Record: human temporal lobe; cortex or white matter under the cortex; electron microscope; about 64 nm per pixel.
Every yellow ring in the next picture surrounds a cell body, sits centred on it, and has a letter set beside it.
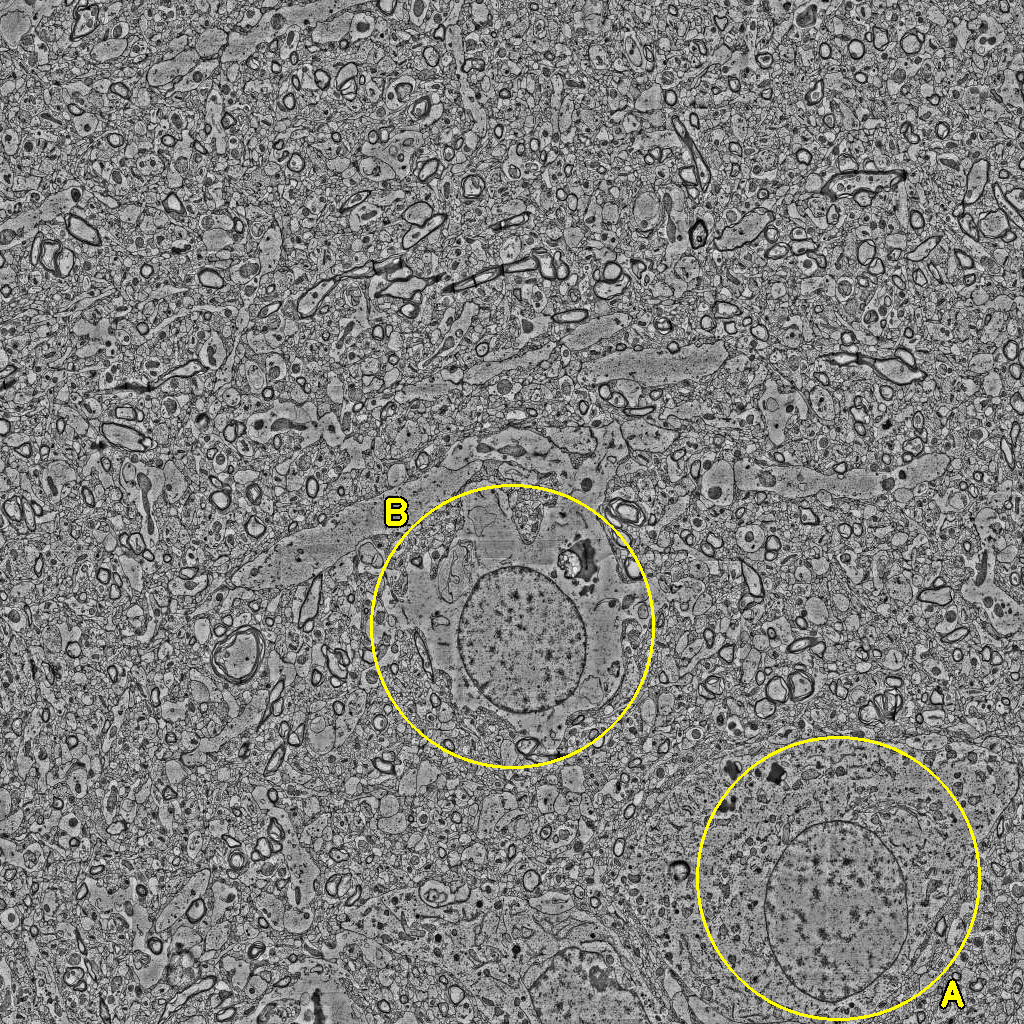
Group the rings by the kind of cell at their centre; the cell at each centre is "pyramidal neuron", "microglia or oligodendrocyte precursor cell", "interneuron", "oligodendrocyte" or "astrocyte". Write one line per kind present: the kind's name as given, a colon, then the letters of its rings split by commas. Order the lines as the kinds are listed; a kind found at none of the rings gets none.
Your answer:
pyramidal neuron: A
astrocyte: B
